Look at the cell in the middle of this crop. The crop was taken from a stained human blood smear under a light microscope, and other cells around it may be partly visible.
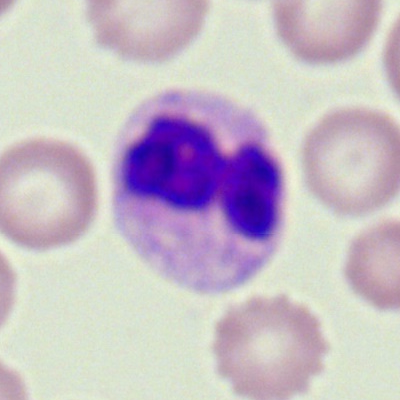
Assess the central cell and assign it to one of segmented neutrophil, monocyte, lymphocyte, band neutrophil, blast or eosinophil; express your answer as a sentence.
In the centre of this crop there is a segmented neutrophil.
